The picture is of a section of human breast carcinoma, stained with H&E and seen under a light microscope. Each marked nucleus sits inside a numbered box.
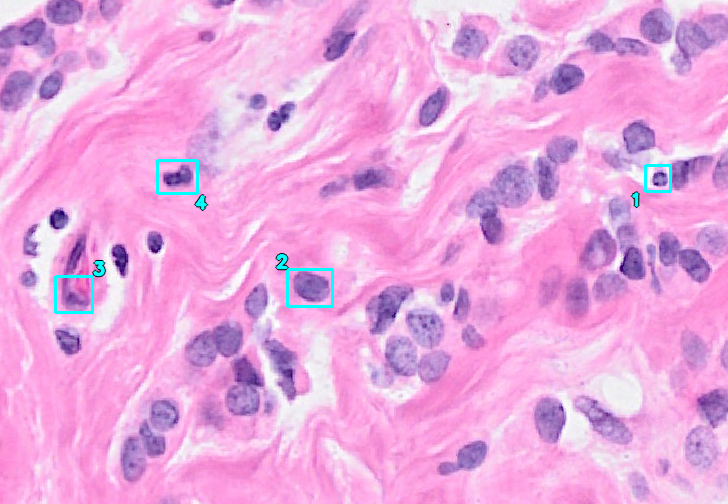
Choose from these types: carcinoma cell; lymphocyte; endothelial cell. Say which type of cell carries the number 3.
endothelial cell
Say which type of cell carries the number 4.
lymphocyte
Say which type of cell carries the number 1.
lymphocyte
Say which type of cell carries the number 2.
carcinoma cell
